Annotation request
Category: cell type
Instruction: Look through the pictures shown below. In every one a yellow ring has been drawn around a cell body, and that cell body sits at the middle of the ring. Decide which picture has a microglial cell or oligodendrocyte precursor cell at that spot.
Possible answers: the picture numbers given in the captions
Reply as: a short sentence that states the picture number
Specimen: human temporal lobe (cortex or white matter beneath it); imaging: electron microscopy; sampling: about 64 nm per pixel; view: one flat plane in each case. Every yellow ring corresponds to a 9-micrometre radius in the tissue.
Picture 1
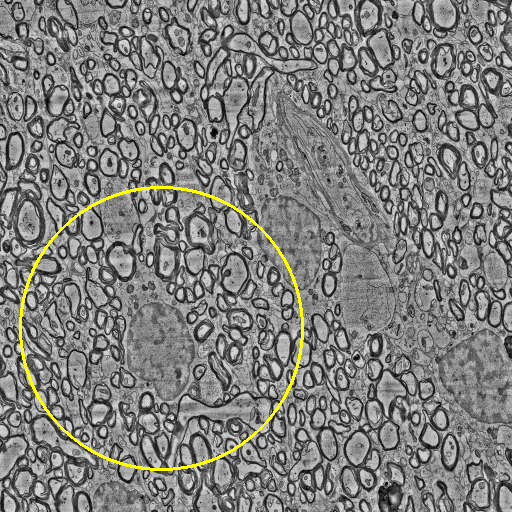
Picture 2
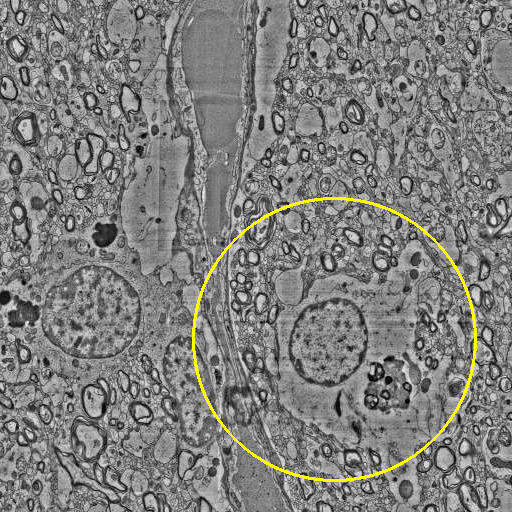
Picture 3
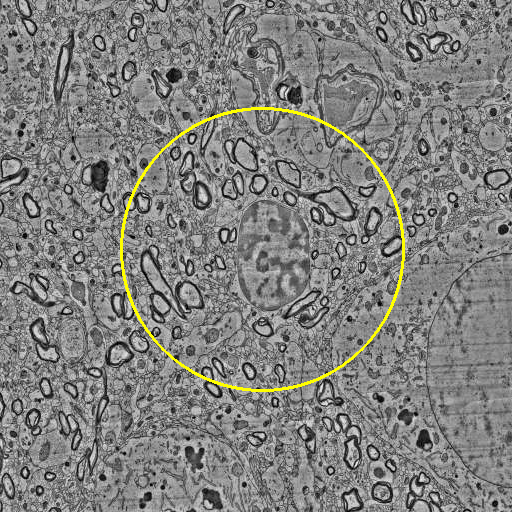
It is in Picture 3.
